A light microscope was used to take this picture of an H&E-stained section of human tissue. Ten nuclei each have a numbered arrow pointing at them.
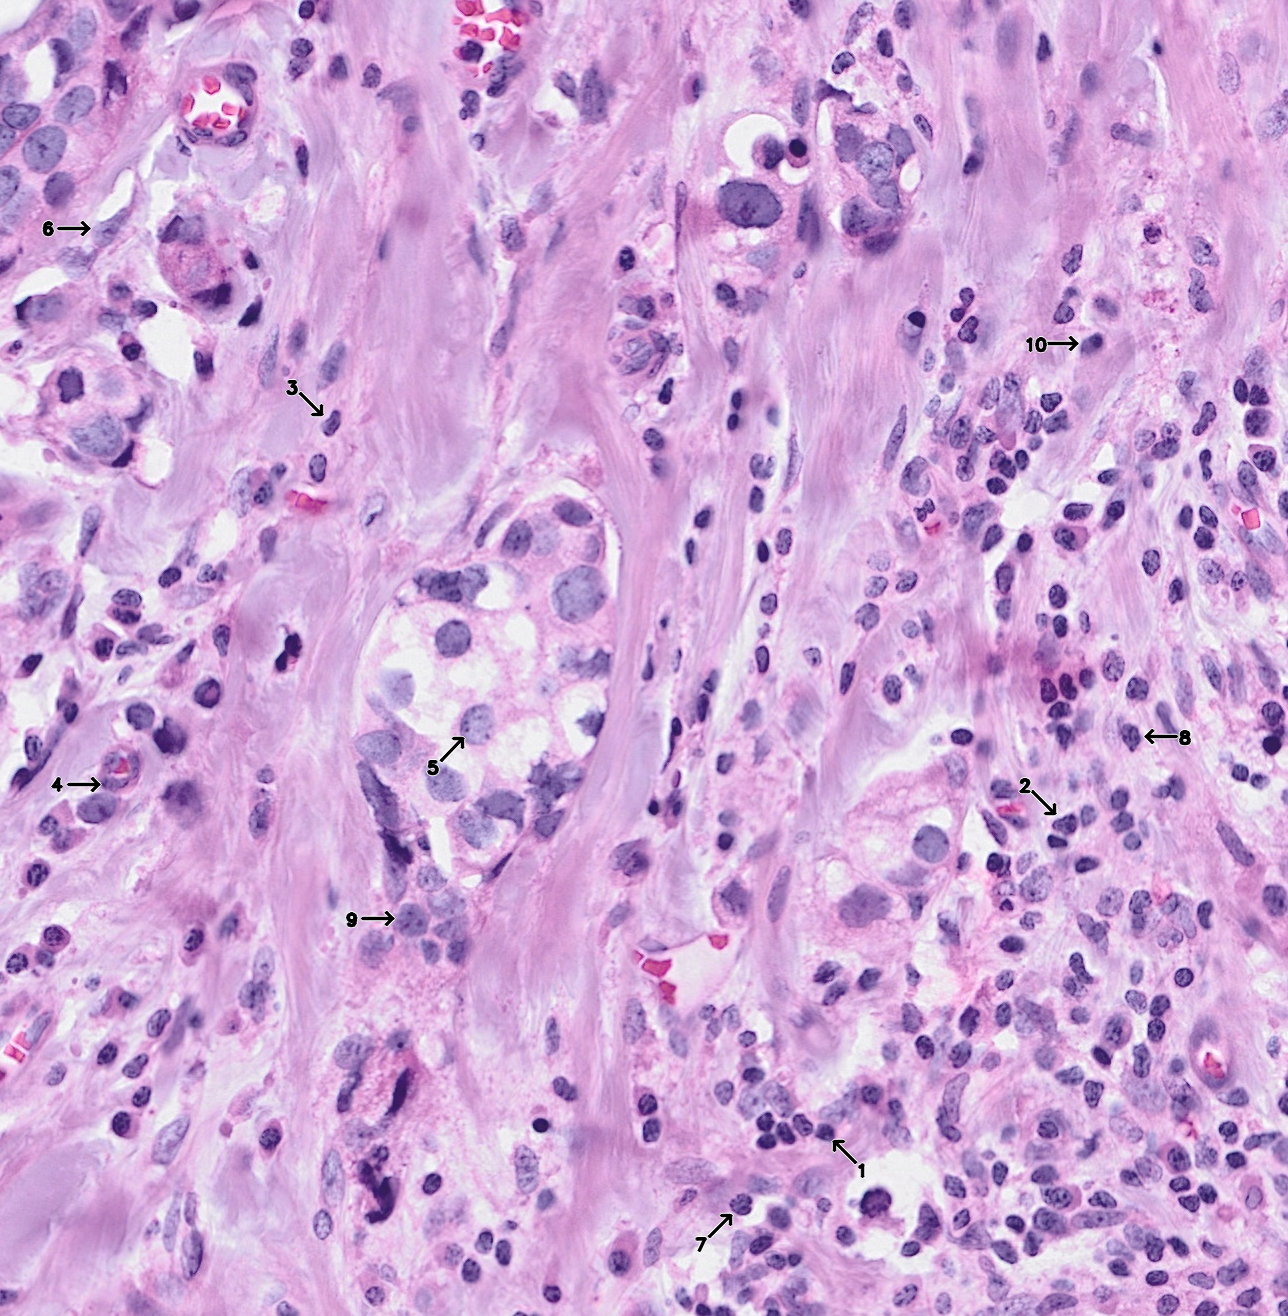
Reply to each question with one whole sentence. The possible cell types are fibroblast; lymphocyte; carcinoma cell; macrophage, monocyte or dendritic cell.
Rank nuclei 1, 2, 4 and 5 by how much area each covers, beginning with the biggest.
From largest to smallest, the order is 5, 2, 1, 4.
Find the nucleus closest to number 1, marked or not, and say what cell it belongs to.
It is a lymphocyte whose nucleus is nearest to number 1.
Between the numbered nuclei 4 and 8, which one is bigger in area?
Nucleus 8 is the larger one, covering about 2.5 times the area of nucleus 4.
